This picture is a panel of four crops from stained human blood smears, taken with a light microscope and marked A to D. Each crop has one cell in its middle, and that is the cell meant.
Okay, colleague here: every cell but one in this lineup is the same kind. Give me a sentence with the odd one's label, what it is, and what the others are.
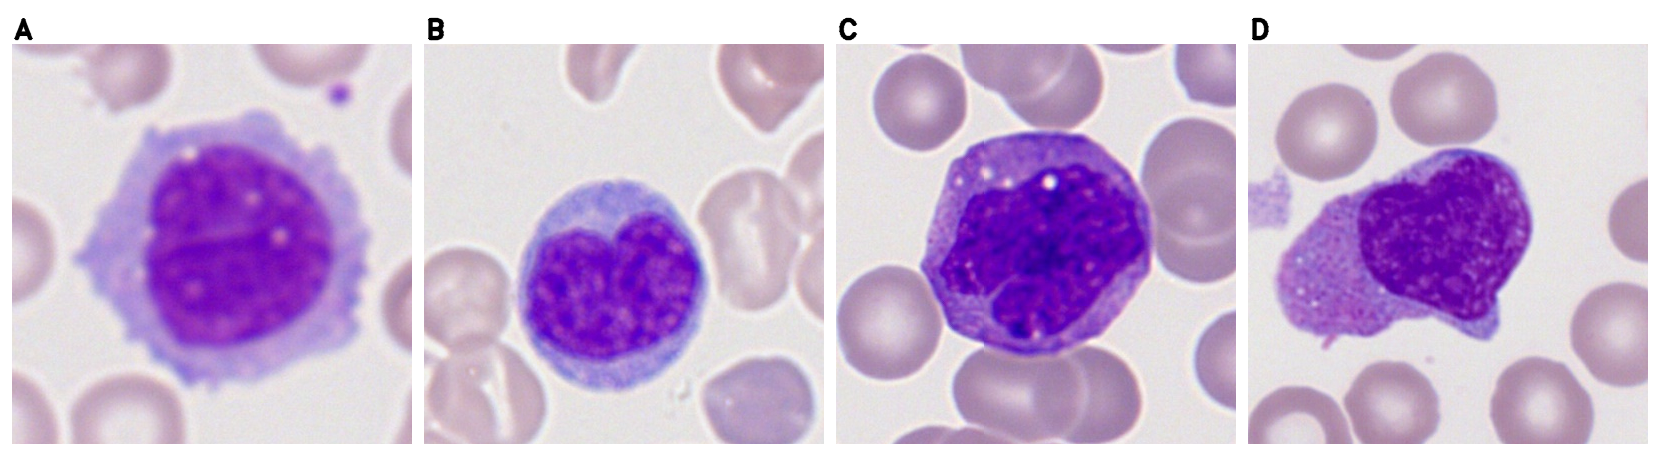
A different cell type, a blast, occupies crop D; the other crops show monocytes.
